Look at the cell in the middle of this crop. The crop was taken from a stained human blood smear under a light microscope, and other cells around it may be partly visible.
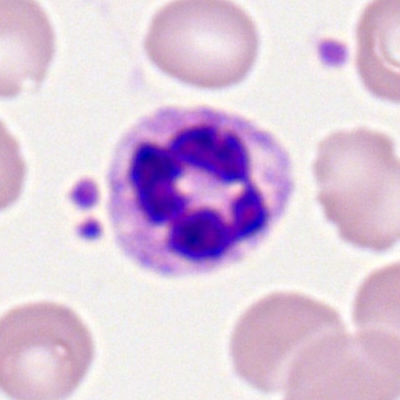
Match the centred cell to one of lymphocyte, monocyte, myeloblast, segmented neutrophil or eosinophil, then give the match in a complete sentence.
The middle cell in this particular crop is a segmented neutrophil.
